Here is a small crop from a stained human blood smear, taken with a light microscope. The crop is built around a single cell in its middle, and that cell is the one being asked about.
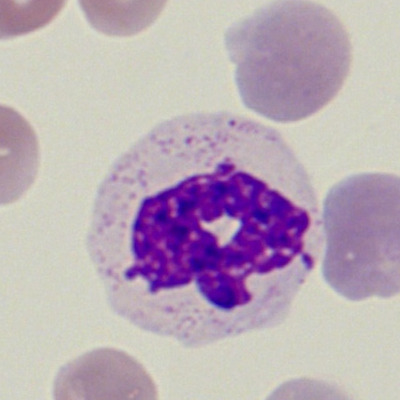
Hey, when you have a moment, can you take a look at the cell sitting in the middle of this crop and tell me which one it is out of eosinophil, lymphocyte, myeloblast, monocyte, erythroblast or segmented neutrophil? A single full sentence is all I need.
The centrally positioned cell in the crop represents a segmented neutrophil.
